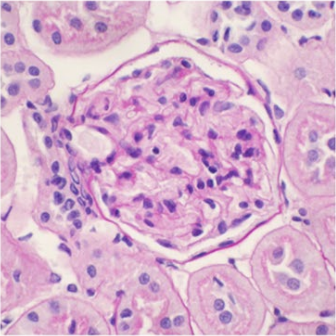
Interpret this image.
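A glomerulus of the renal cortex fills the centre, its tuft of capillary loops outlined by thin magenta-stained walls among dark blue nuclei. A thin magenta-lined capsule surrounds the tuft, leaving a narrow clear space. Tubules around it are lined by cells with pale pink cytoplasm and round nuclei, with a magenta line along their bases.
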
